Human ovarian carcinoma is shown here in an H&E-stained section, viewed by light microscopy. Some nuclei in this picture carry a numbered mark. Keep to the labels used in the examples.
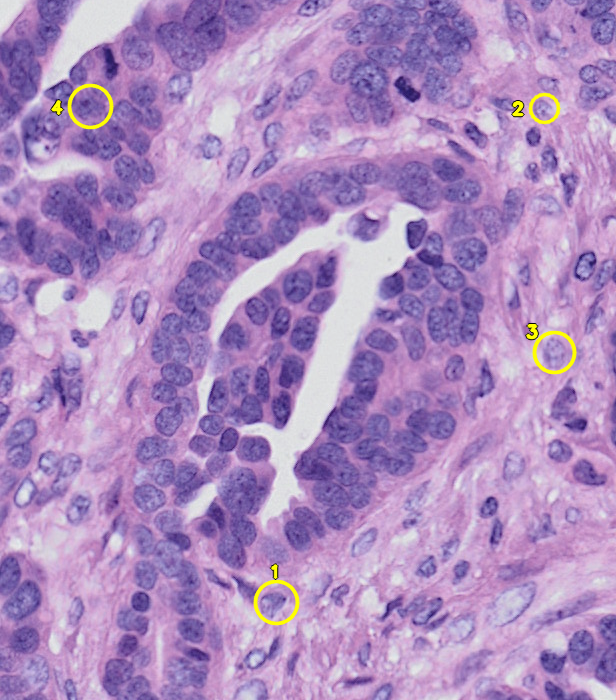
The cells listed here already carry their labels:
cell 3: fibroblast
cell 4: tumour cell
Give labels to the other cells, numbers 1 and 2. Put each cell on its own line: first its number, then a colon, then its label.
1: fibroblast
2: fibroblast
